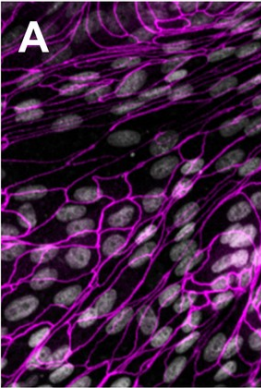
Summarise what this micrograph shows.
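Every cell is outlined by a thin, sharp magenta line at its border, so the sheet looks like a net of closely fitted polygons, many of them elongated and lined up in streams. Each cell has one oval grey nucleus, and the nuclei are fairly even in size, with a few brighter, crowded clusters.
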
